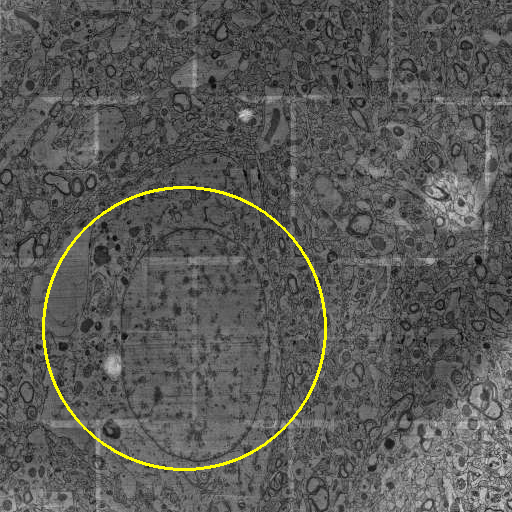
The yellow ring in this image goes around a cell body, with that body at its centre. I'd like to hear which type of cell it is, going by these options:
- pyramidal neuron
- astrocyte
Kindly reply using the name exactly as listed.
pyramidal neuron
